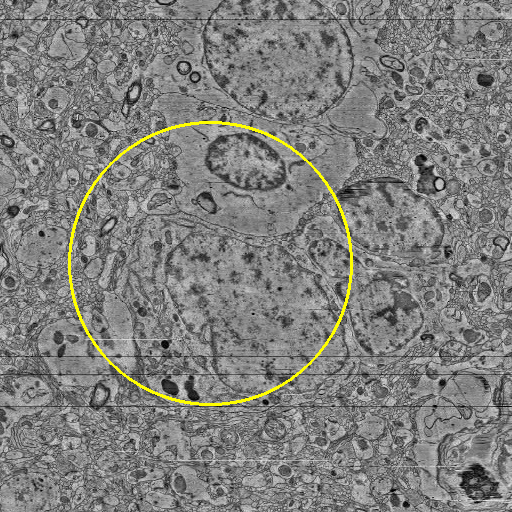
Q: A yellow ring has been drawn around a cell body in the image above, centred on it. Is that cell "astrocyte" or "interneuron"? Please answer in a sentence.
The ring surrounds the cell body of an interneuron.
